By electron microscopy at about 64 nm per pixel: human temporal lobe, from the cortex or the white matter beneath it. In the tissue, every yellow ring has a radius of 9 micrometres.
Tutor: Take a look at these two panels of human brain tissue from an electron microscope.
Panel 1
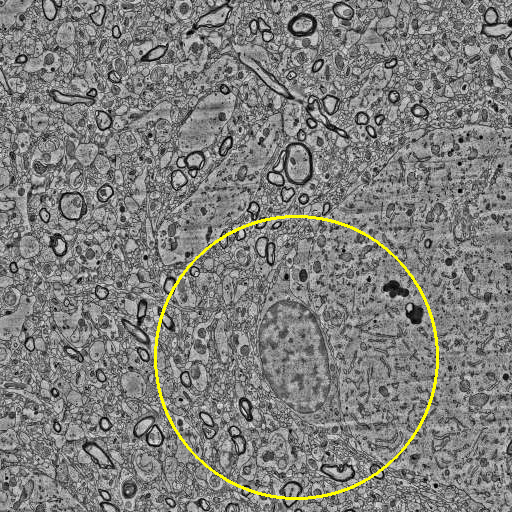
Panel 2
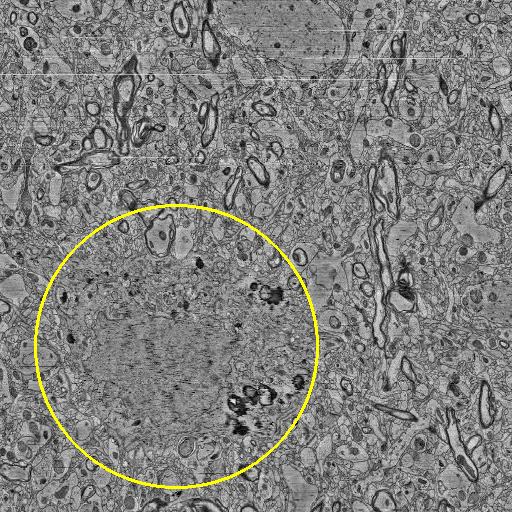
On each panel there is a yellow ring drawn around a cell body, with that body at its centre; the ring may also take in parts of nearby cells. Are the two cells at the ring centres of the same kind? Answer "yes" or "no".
no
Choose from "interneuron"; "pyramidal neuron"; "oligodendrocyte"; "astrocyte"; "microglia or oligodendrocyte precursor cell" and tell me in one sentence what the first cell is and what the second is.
What the first ring is centred on is an oligodendrocyte; what the second ring is centred on is a pyramidal neuron.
